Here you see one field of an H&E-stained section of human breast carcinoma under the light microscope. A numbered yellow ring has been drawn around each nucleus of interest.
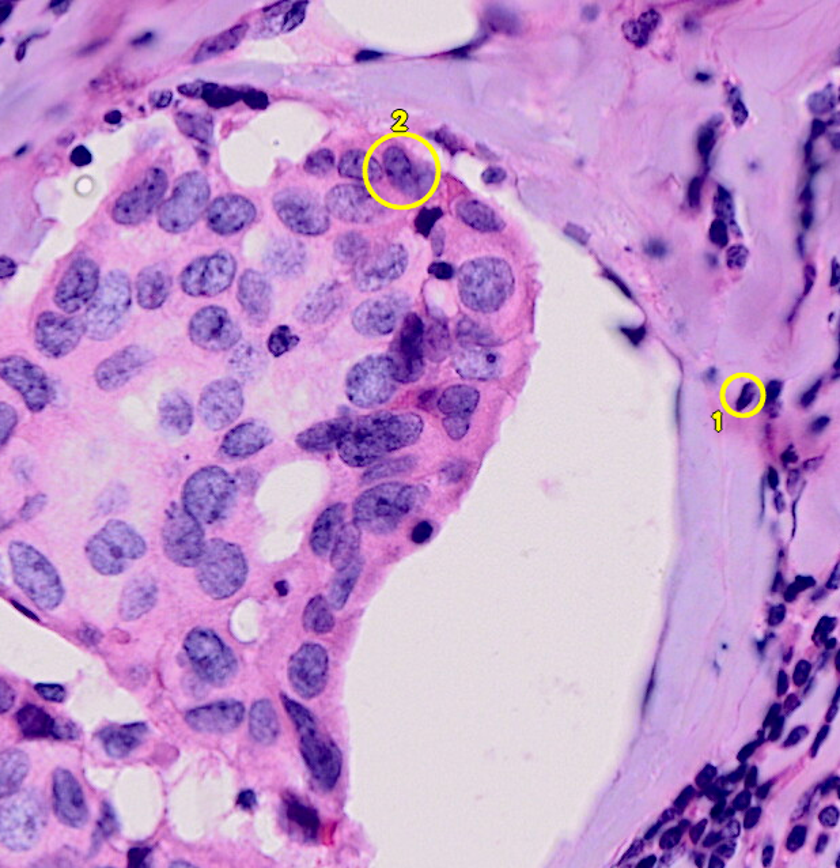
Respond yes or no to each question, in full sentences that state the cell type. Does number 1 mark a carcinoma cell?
No, the cell at marker 1 is not a carcinoma cell; it is a lymphocyte.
